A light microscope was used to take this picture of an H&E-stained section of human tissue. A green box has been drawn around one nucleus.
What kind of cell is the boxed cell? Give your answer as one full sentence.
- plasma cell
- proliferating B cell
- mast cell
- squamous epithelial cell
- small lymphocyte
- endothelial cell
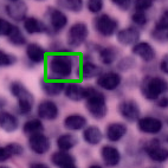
The boxed cell appears to be a small lymphocyte.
